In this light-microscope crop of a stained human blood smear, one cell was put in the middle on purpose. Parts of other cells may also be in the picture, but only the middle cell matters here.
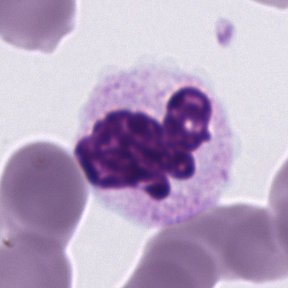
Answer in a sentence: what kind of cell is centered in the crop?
As for the cell in the middle, it is a segmented neutrophil.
